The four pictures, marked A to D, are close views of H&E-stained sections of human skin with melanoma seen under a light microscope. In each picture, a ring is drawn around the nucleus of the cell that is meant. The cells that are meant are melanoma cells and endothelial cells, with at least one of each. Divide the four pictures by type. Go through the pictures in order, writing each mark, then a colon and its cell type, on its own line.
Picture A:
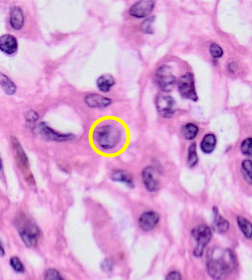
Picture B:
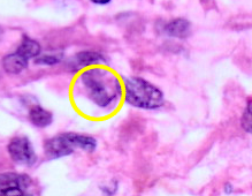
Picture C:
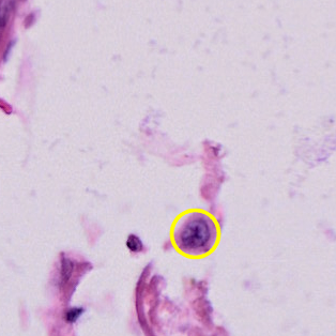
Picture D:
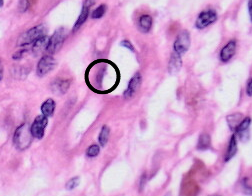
A: endothelial cell
B: melanoma cell
C: melanoma cell
D: endothelial cell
